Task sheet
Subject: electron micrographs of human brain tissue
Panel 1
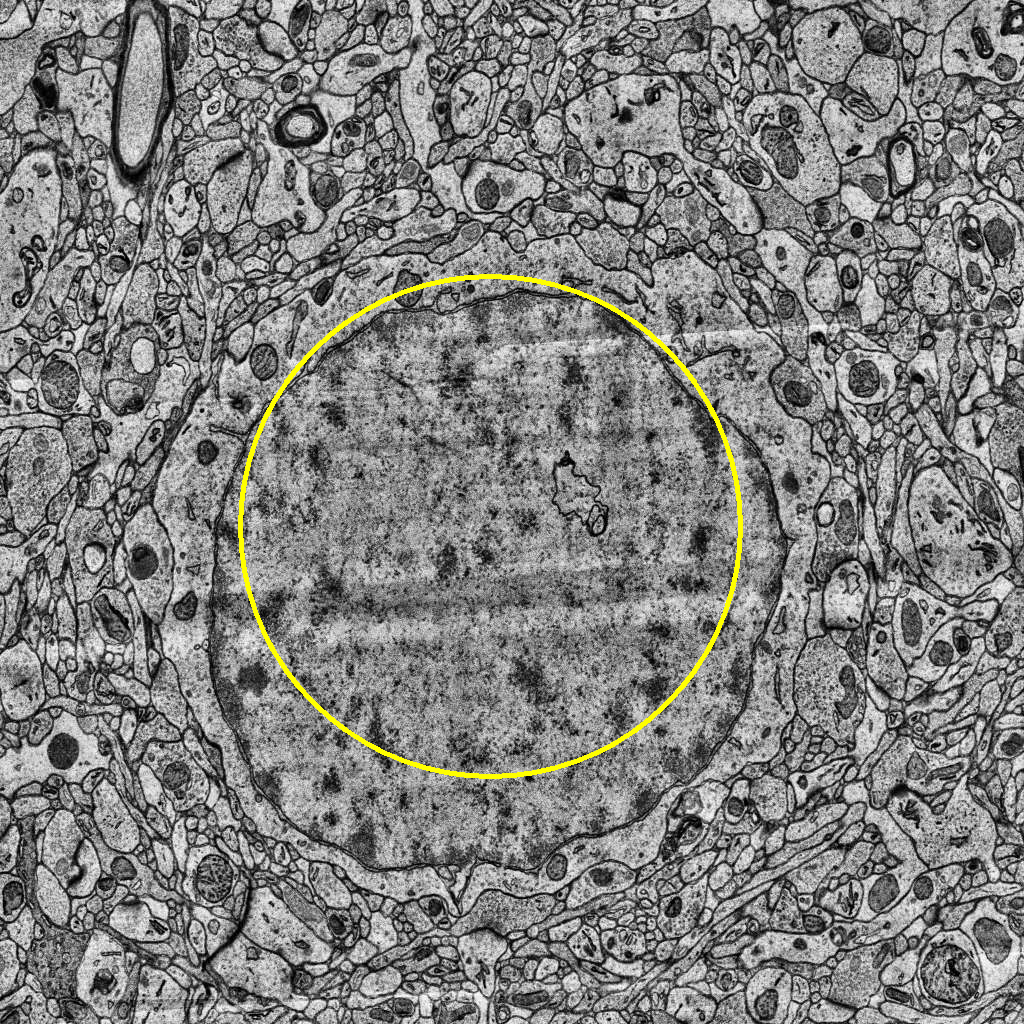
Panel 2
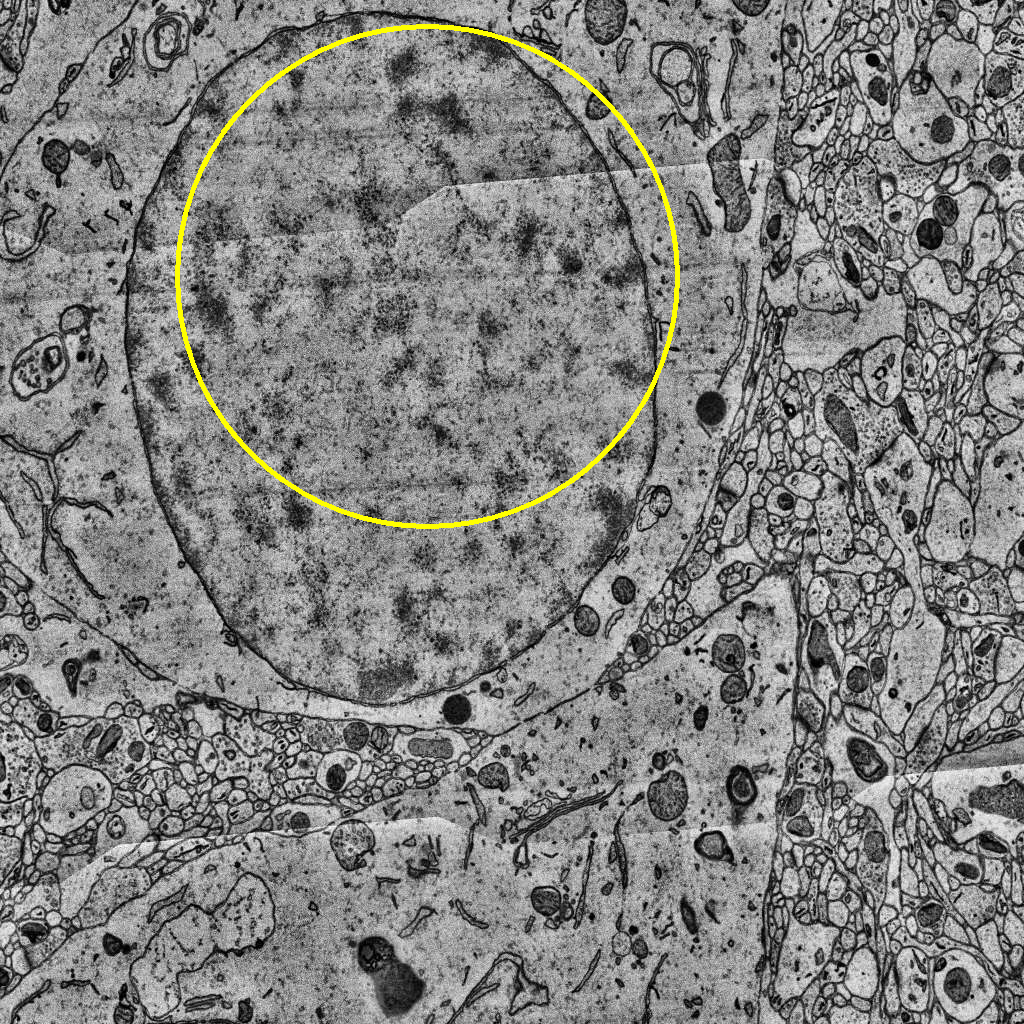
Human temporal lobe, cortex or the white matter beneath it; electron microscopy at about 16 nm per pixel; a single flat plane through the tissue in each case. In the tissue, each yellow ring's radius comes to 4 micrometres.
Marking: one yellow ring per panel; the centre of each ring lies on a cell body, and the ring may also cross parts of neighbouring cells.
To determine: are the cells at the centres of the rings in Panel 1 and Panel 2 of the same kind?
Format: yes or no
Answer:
no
